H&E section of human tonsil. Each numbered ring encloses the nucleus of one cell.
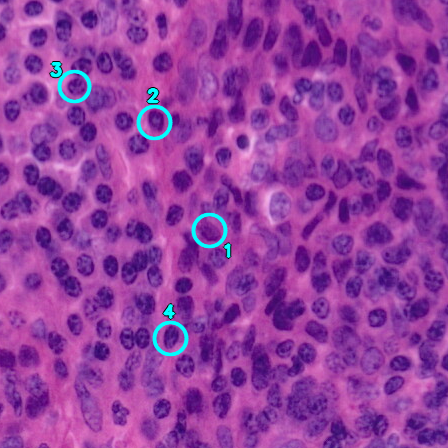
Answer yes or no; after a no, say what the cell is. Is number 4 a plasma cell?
Yes.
